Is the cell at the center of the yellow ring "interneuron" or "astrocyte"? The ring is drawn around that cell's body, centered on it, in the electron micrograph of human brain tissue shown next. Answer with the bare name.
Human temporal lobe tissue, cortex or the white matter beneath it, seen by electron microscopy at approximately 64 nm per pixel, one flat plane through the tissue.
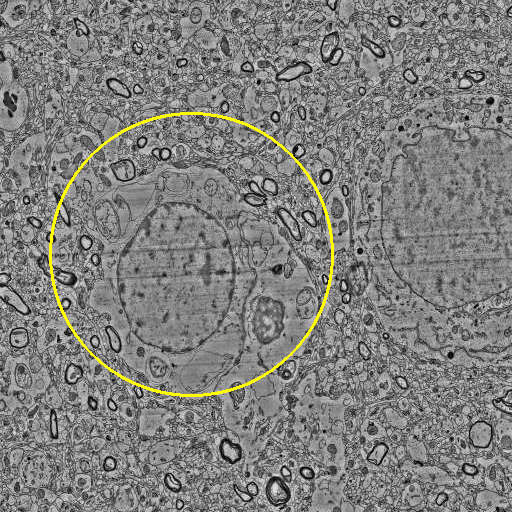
astrocyte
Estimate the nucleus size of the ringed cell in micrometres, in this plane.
About 10 by 7 micrometres in this plane.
